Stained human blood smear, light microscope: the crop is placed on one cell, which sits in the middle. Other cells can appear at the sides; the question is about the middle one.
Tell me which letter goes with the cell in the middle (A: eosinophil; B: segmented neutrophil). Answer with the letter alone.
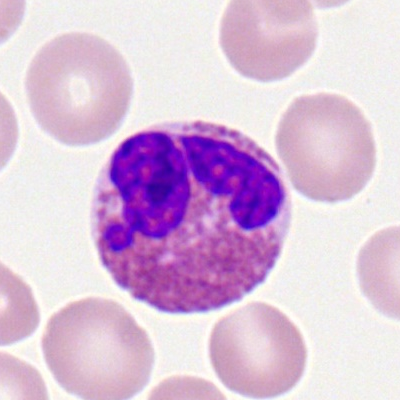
A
